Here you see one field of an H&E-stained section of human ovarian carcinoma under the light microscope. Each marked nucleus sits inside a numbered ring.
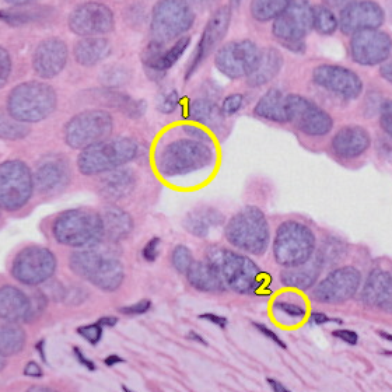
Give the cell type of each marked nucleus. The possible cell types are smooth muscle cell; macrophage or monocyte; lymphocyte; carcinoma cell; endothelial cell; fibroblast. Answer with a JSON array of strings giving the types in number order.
["carcinoma cell", "fibroblast"]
